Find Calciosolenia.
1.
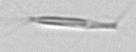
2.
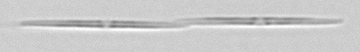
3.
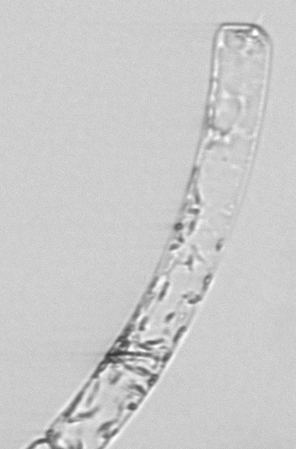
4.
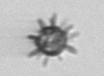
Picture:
1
